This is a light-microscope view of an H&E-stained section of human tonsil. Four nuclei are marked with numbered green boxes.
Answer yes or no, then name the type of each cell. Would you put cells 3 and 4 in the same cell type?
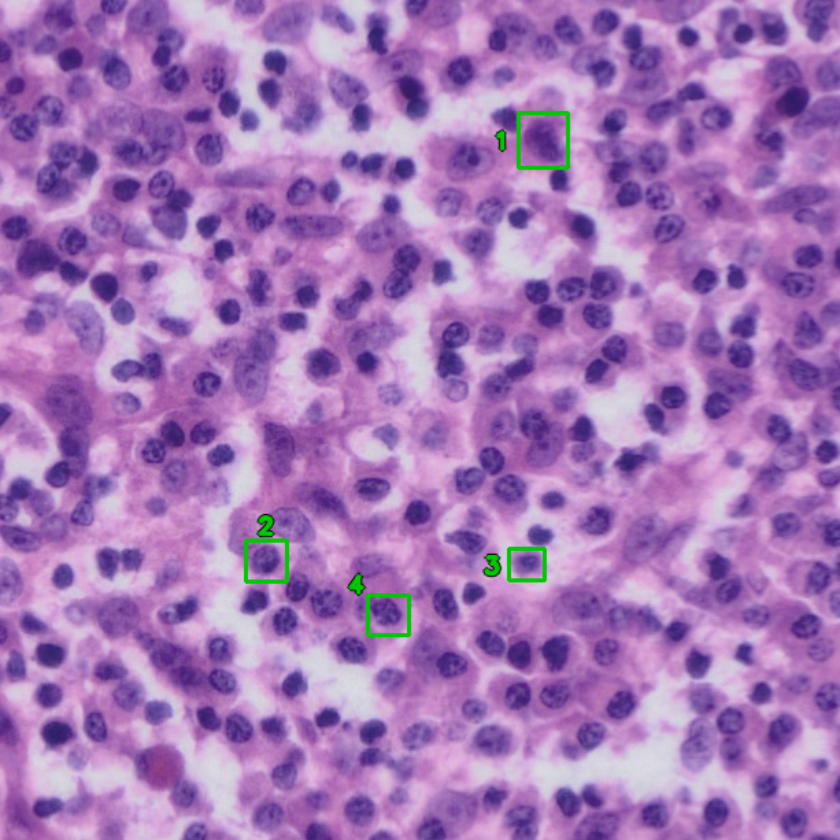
Yes, both are plasma cells.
